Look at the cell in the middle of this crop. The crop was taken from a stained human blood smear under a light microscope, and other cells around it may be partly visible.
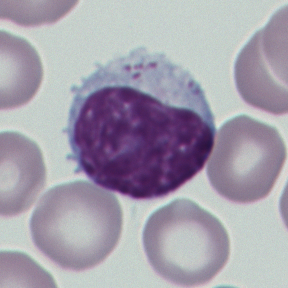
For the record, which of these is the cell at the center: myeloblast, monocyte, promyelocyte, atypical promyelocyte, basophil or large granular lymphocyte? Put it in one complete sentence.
The center cell of this crop is a large granular lymphocyte.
